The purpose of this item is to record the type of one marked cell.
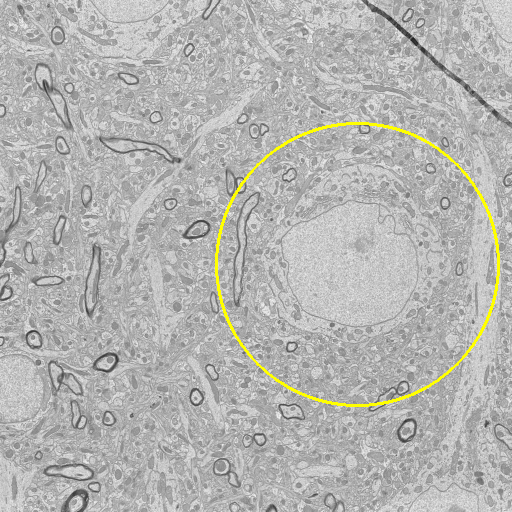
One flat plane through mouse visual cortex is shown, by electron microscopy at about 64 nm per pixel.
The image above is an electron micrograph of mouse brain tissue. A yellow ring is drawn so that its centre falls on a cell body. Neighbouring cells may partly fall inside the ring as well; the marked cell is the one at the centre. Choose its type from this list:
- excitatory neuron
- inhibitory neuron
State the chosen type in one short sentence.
What the ring marks here is an excitatory neuron.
